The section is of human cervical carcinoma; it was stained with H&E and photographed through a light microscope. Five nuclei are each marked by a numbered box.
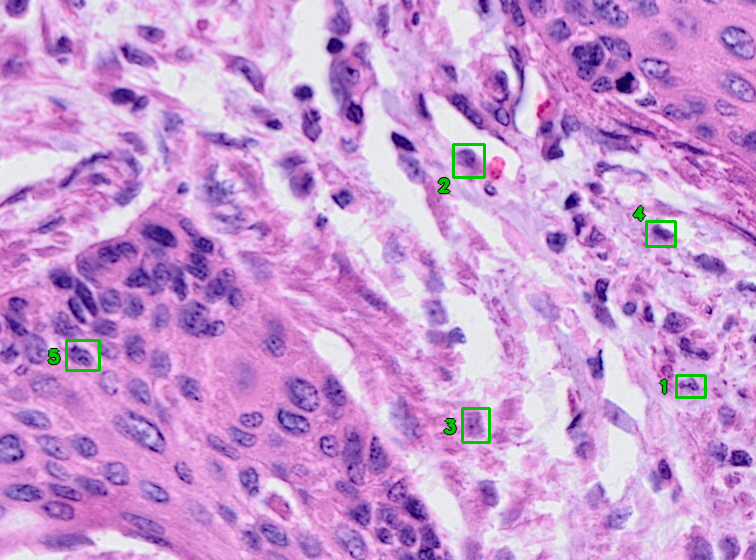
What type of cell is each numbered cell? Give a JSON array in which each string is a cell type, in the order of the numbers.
["fibroblast", "endothelial cell", "fibroblast", "fibroblast", "squamous carcinoma cell"]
